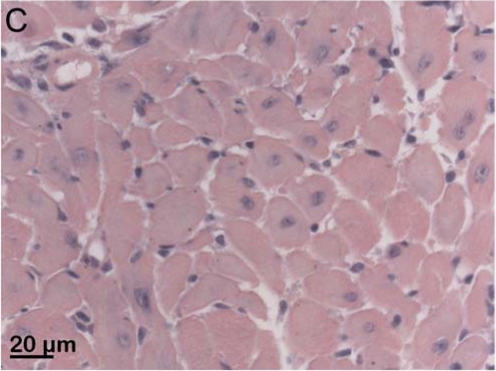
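Heart muscle with cardiac muscle fibres cut mostly in cross section, forming a mosaic of polygonal pink profiles. Narrow interstitial spaces separate the fibres and contain scattered small, darkly stained nuclei. No dense clusters of small cells are seen between the fibres. A small vessel lies at the upper left.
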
